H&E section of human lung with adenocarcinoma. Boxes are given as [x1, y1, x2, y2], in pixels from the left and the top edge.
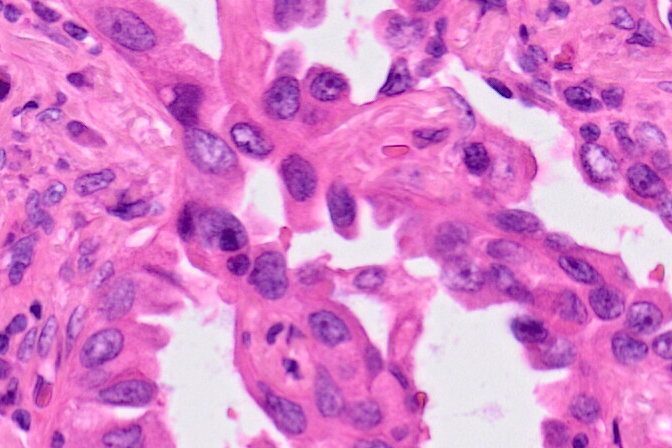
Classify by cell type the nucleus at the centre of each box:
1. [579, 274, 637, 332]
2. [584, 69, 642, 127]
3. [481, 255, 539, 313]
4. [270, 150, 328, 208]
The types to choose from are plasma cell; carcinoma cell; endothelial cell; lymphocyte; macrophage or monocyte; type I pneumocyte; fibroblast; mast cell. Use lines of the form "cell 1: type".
cell 1: carcinoma cell
cell 2: plasma cell
cell 3: carcinoma cell
cell 4: carcinoma cell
